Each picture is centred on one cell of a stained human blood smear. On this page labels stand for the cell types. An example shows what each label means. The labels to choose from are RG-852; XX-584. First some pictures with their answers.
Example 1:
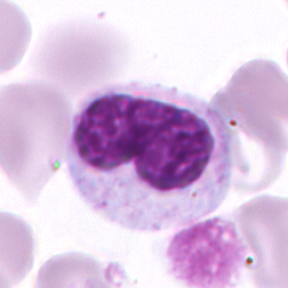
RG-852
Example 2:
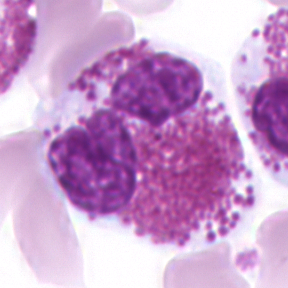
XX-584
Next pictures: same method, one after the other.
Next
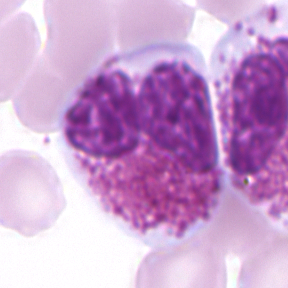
XX-584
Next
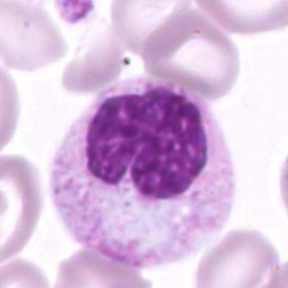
RG-852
